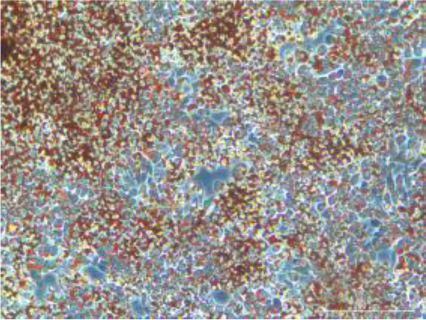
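This is a densely packed monolayer of adipocytes differentiated in culture, seen in brightfield. Large areas, especially toward the upper left, are crowded with cells full of many small red-brown droplets, each cell appearing finely granular. Elsewhere, flat polygonal cells with pale blue-grey cytoplasm and distinct bright outlines carry few or no red droplets. The stained and unstained cells are intermixed in a patchy mosaic, with no layering. The droplets are small and numerous within each cell instead of forming a single large vacuole.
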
